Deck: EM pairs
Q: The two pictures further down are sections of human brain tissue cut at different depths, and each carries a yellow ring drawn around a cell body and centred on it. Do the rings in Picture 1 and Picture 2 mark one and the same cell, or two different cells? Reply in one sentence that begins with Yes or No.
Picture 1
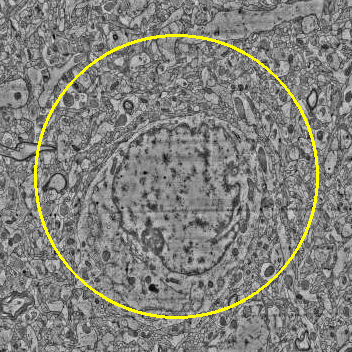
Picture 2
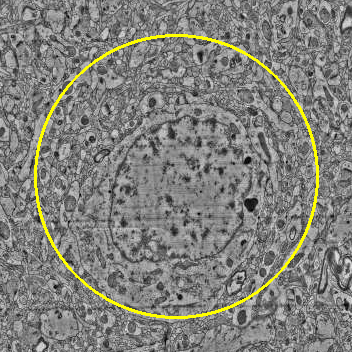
Yes, the two rings belong to one cell, not to two.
